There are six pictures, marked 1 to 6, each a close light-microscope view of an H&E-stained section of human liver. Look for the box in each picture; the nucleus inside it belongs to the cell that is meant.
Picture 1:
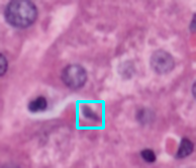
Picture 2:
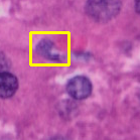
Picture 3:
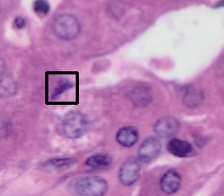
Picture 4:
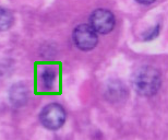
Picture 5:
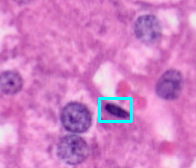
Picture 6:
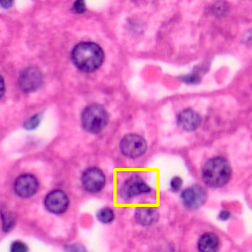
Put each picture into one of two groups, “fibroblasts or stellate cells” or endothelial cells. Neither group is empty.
1: endothelial cell
2: endothelial cell
3: fibroblast or stellate cell
4: fibroblast or stellate cell
5: fibroblast or stellate cell
6: fibroblast or stellate cell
